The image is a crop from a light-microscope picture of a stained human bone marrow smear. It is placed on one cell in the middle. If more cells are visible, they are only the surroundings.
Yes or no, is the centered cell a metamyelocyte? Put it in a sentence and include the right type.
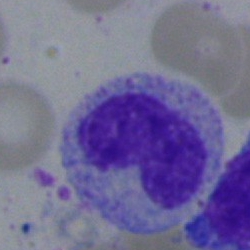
Yes, the cell at the heart of the crop is a metamyelocyte.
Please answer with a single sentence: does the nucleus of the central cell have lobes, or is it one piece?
A single compact nucleus is present, shaped round, oval or like a kidney.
